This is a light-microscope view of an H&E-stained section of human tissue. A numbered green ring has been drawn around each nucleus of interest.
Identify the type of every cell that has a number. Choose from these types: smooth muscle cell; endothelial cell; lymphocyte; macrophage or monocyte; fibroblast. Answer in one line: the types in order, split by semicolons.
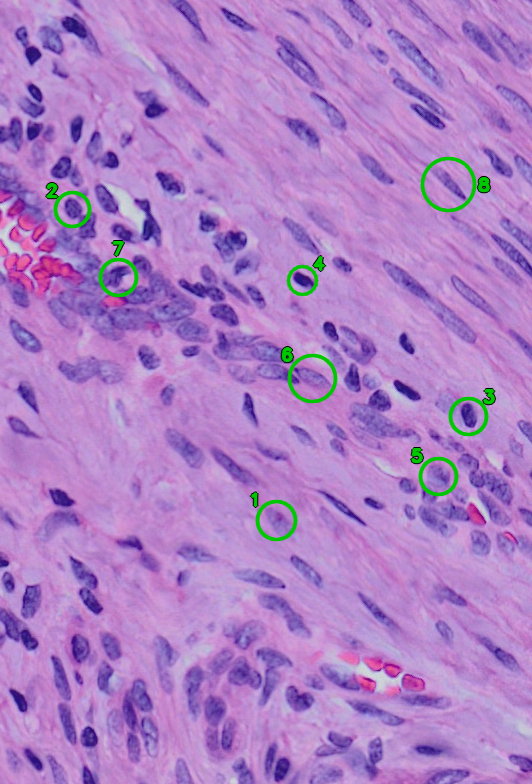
smooth muscle cell; lymphocyte; lymphocyte; lymphocyte; endothelial cell; endothelial cell; endothelial cell; fibroblast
